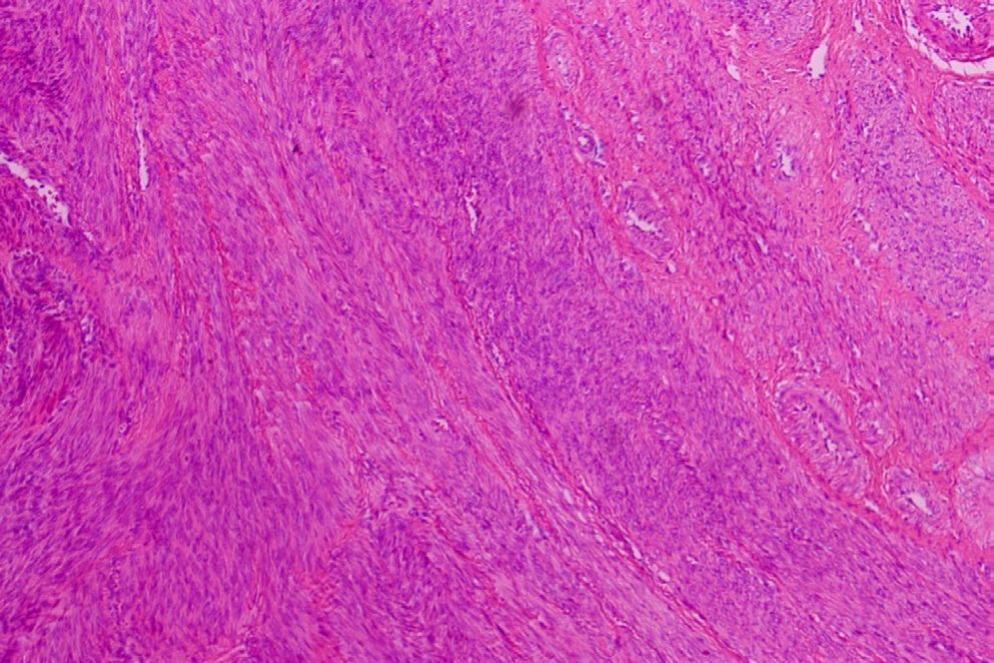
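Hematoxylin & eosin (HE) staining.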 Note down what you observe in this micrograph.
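This low-power view shows a cellular lesion made of spindle-shaped smooth muscle cells. They are packed into long bundles that run in different directions and cross one another, giving a woven look. The cells have pink cytoplasm and elongated, dark purple nuclei that follow the long axis of each bundle. The cells are crowded together, so the border between one cell and the next is hard to make out. Thin strands of paler pink connective tissue separate some bundles. On the right, several small round or oval structures with open lumina sit within looser pink stroma, set among the bundles.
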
